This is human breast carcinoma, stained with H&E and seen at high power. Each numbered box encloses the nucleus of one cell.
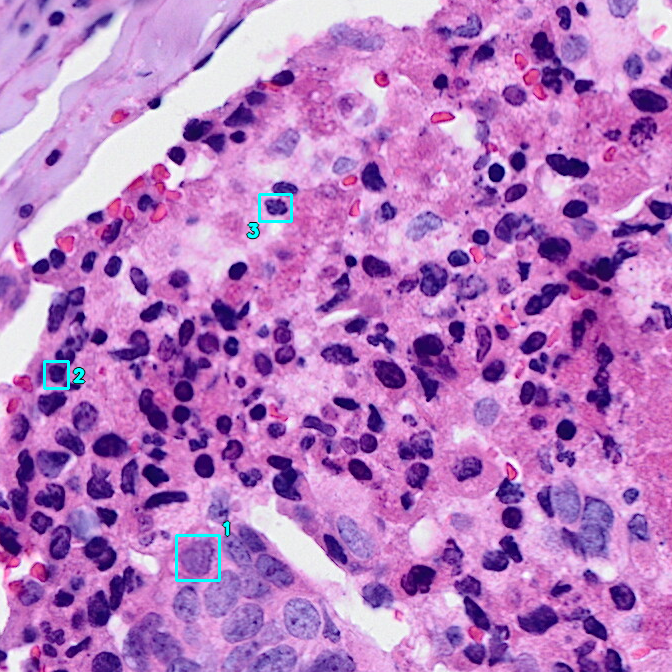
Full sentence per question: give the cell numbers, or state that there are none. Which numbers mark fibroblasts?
It is not the case that any of the numbered cells are fibroblasts.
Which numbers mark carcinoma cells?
Cell 1 is a carcinoma cell; the remaining numbered cells are not.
